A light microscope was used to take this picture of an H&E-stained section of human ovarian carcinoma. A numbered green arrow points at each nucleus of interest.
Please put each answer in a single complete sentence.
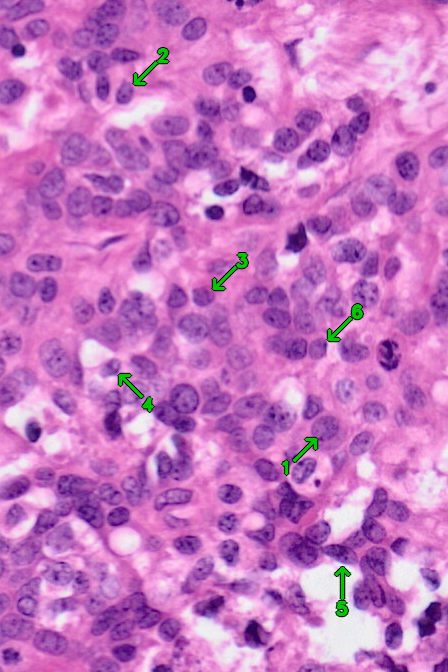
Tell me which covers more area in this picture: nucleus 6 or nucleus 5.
At about 2 times the area of nucleus 6, nucleus 5 is the larger of the two.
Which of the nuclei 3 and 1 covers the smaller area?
It is nucleus 3; nucleus 1 has about 1.5 times its area.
